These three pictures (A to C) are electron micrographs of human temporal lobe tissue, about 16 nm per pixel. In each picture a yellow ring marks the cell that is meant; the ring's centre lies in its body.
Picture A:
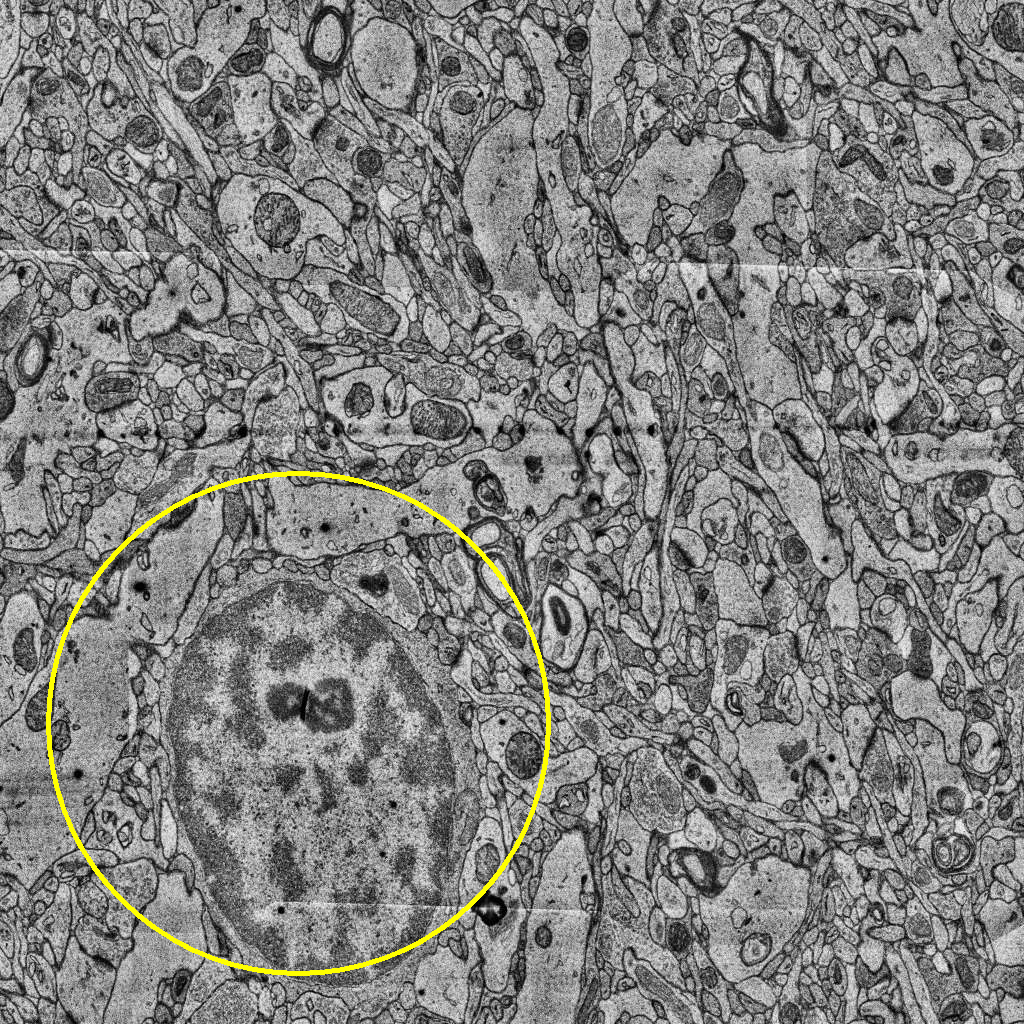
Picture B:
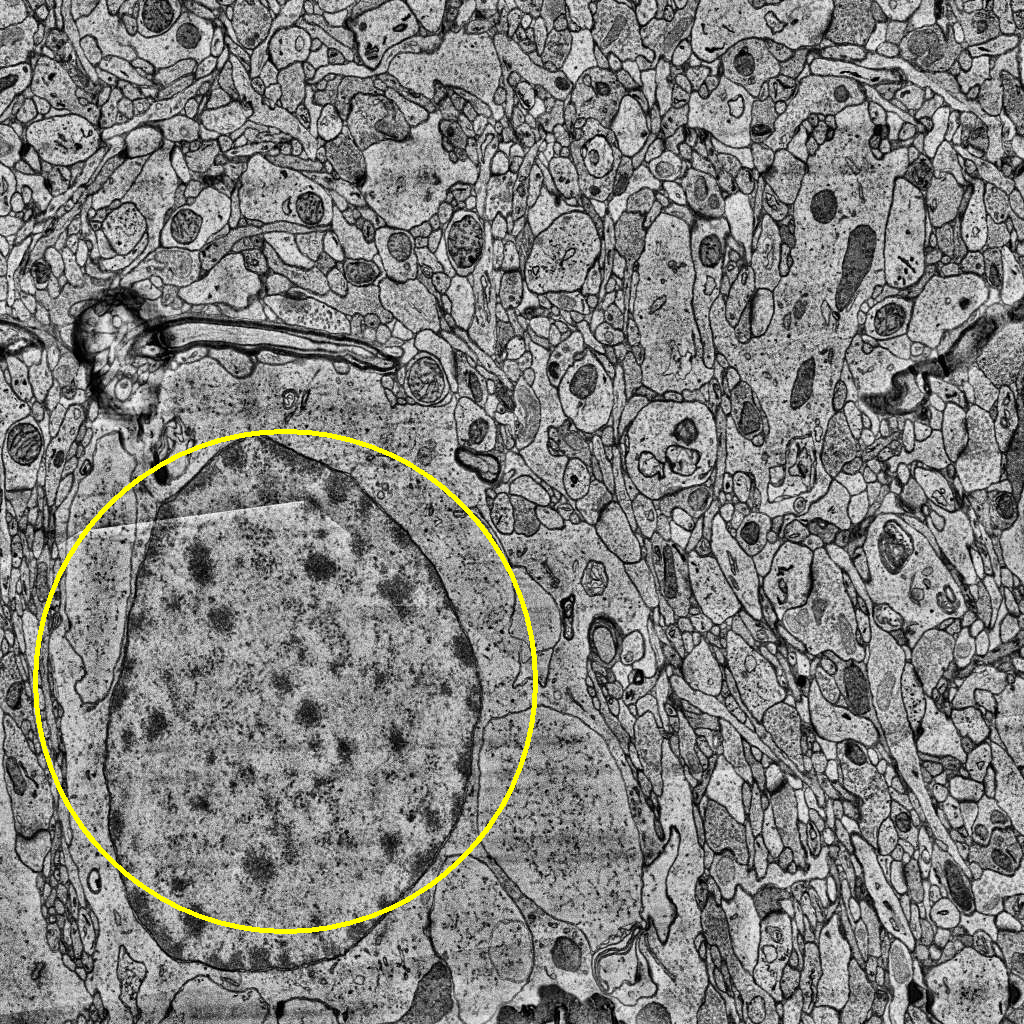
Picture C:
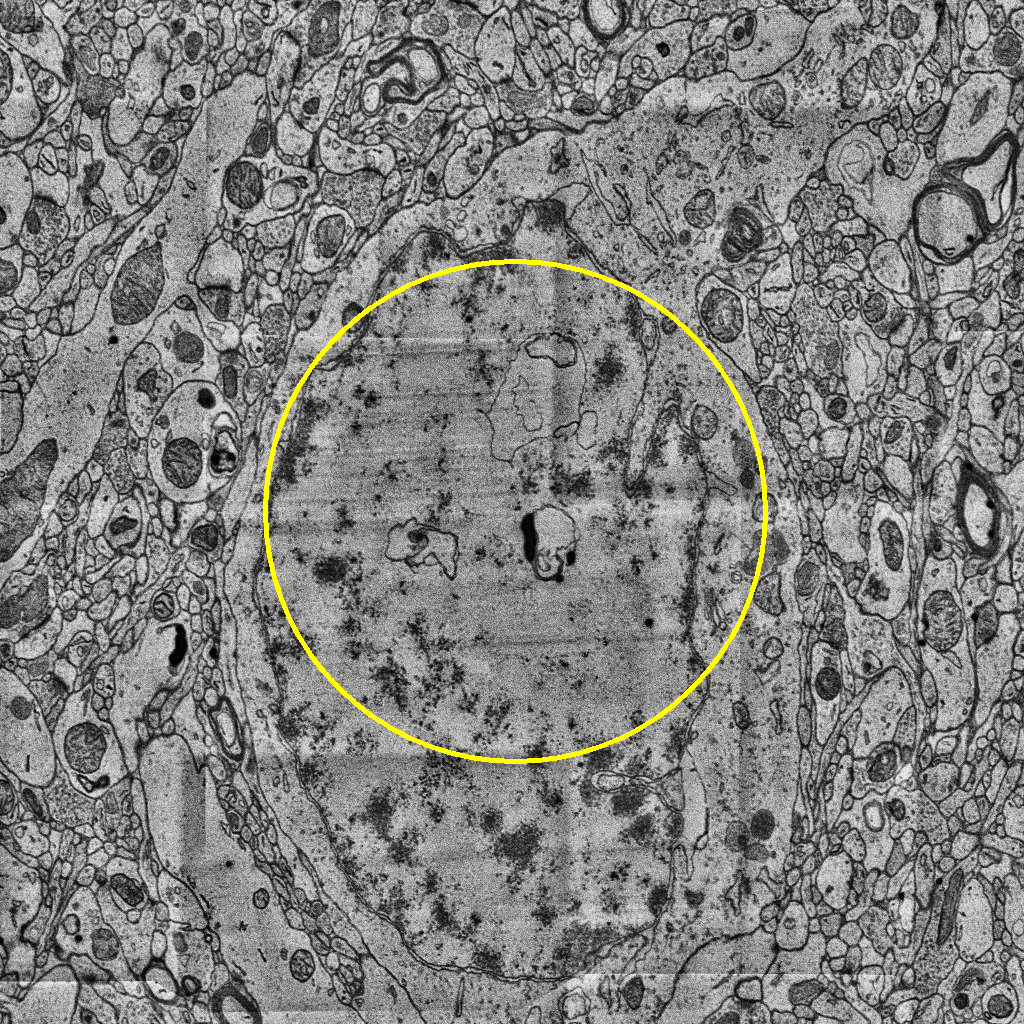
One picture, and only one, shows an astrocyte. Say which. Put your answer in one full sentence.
The picture with the astrocyte is B.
